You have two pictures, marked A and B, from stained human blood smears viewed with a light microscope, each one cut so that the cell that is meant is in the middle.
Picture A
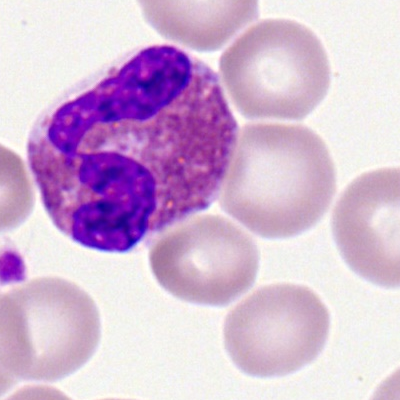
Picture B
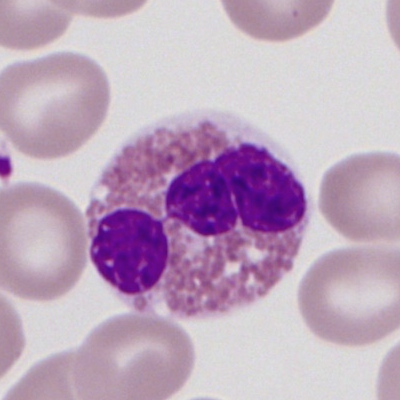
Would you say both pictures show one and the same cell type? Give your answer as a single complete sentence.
Yes, the two pictures both show eosinophils.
